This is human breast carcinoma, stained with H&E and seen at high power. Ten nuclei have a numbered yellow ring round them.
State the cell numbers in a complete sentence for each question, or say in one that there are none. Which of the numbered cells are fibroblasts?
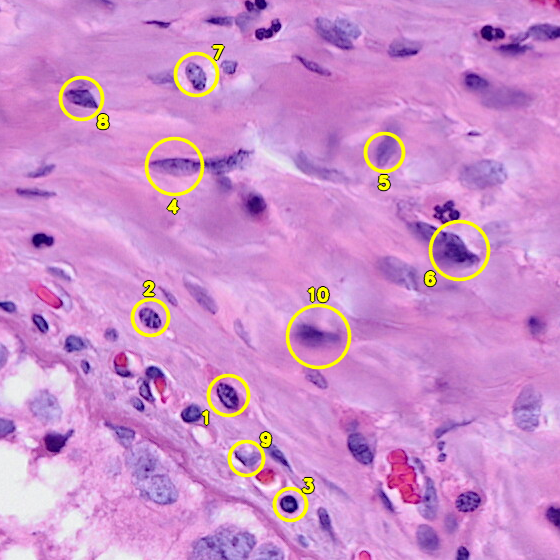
The cells that the numbers 4, 5, 6, 8, 9 and 10 belong to are fibroblasts.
